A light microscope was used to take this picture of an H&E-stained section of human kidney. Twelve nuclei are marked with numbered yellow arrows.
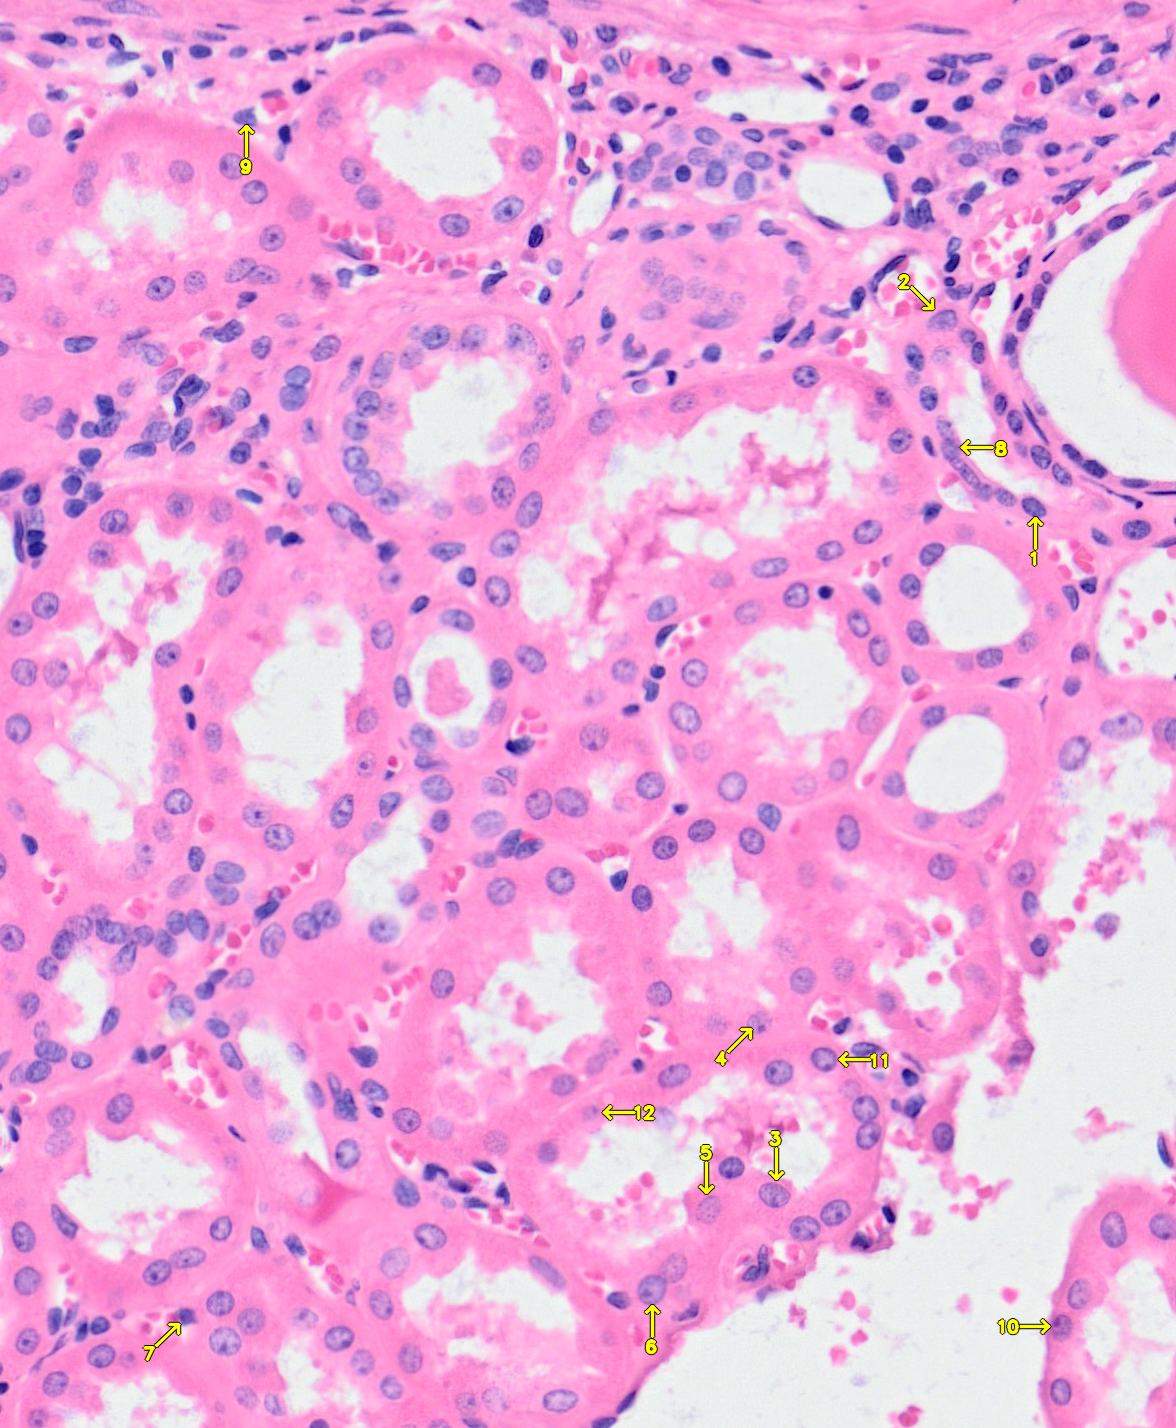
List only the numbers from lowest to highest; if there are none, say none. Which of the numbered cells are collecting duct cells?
1, 2, 8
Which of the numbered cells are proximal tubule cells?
3, 4, 5, 6, 10, 11, 12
